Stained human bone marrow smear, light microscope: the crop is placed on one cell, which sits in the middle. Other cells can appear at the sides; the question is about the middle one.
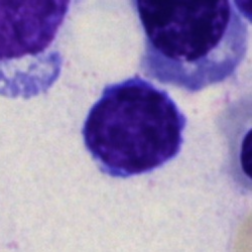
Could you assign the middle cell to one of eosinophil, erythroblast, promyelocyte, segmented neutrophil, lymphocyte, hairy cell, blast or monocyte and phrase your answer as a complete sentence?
The cell around which this crop is centred is a lymphocyte.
